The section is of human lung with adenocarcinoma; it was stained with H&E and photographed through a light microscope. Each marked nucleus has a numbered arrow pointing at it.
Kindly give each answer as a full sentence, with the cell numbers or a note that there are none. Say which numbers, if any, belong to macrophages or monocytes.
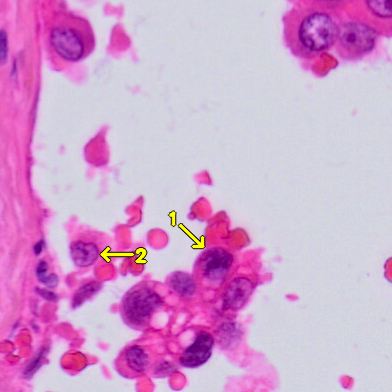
Only the cell numbered 2 is a macrophage or monocyte, and the others are something else.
